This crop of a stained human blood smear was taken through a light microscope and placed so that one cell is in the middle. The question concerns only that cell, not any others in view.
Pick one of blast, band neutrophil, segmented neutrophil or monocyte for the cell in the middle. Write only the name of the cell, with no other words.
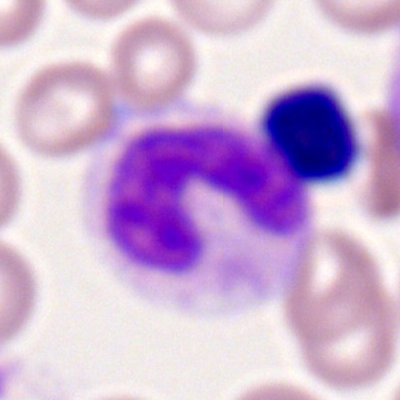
band neutrophil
